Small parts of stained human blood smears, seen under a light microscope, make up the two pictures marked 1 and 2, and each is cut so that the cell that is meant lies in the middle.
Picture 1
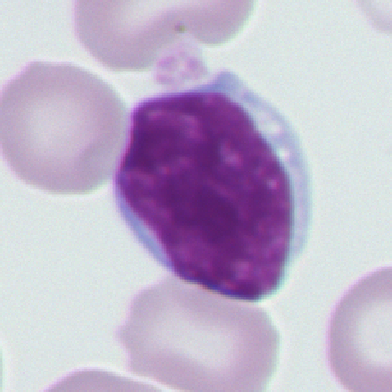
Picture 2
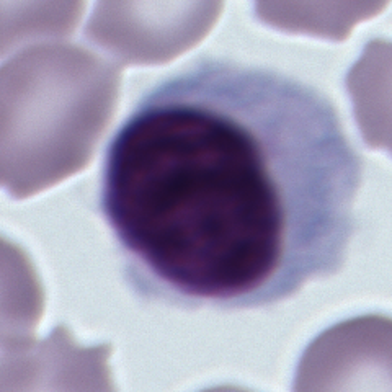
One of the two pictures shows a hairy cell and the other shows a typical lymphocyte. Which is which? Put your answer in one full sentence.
Picture 1 shows a typical lymphocyte and picture 2 shows a hairy cell.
